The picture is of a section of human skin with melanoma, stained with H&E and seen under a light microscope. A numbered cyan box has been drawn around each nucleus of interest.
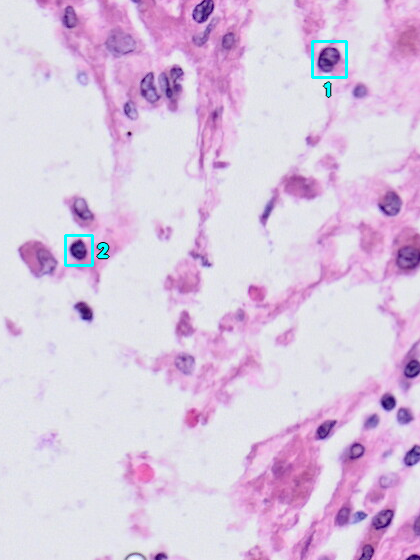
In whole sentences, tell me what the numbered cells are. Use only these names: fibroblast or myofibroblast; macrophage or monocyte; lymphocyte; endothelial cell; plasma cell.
Cell 1 is a macrophage or monocyte. Cell 2 is a lymphocyte.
